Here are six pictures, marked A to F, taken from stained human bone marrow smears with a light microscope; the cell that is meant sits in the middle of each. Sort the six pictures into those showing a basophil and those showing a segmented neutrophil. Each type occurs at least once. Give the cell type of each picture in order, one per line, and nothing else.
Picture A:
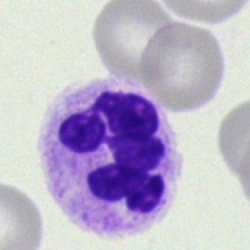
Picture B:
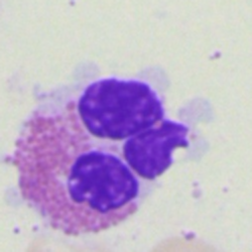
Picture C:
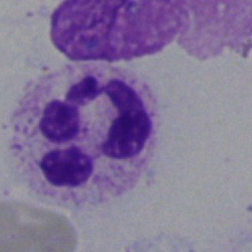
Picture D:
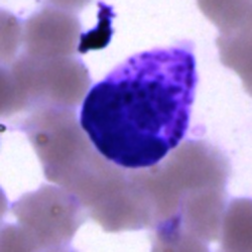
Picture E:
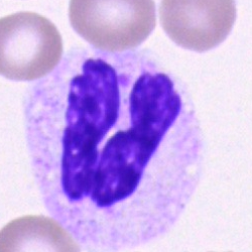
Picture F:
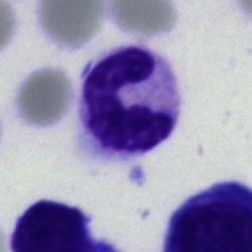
segmented neutrophil
basophil
segmented neutrophil
basophil
segmented neutrophil
segmented neutrophil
